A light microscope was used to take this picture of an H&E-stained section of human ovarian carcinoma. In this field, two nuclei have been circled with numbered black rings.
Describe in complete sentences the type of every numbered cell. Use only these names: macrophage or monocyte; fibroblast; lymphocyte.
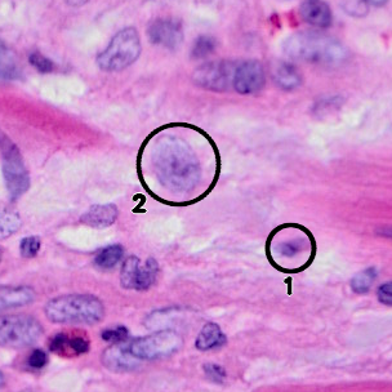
Cell 1 is a macrophage or monocyte. Cell 2 is a fibroblast.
